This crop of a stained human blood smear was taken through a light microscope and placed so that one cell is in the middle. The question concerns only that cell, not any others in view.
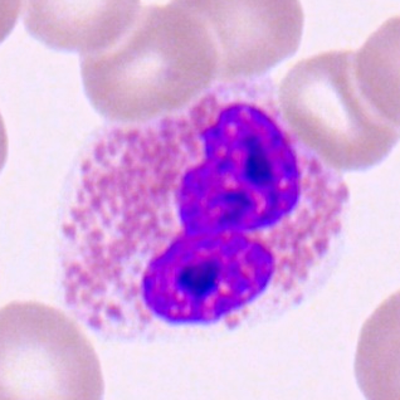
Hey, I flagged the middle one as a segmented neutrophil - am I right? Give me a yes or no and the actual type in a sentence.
No, the cell at the centre is an eosinophil, which rules out a segmented neutrophil.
